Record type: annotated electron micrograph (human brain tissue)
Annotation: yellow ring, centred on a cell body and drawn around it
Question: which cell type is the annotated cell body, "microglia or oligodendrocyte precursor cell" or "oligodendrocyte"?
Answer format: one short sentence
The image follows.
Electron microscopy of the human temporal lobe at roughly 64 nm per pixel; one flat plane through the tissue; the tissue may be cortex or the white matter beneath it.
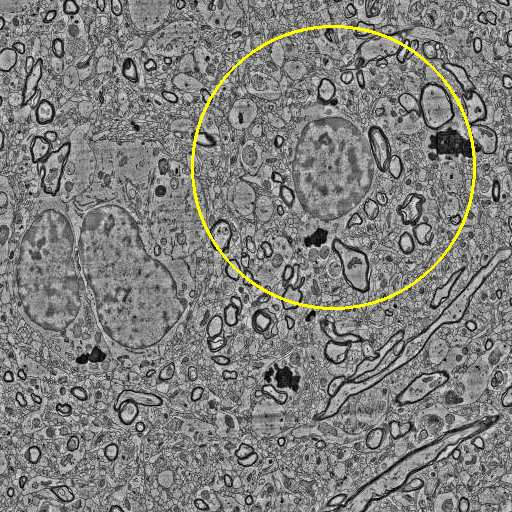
The annotated cell body is that of an oligodendrocyte.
